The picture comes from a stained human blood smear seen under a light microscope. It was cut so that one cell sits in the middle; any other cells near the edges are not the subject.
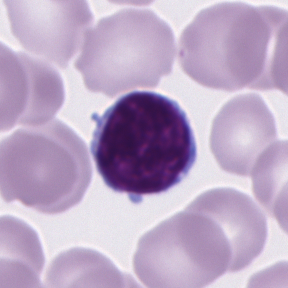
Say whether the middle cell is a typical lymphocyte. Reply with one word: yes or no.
yes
